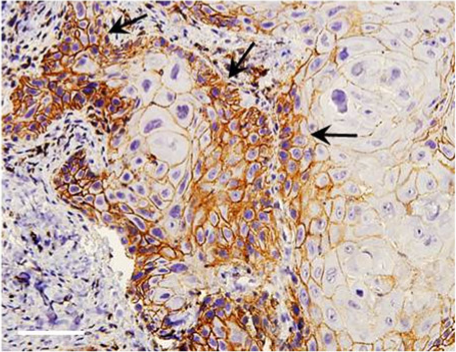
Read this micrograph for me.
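Nests of squamous tumor cells are shown, with brown staining outlining the borders of the cells in a net-like, honeycomb pattern. The tumor cells are polygonal with blue, oval nuclei and pale cytoplasm within the brown outlines. Toward the centre of the nests the cells become larger with abundant pale cytoplasm and the border staining fades. The outer parts of the nests, next to the stroma, carry the strongest outlines.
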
